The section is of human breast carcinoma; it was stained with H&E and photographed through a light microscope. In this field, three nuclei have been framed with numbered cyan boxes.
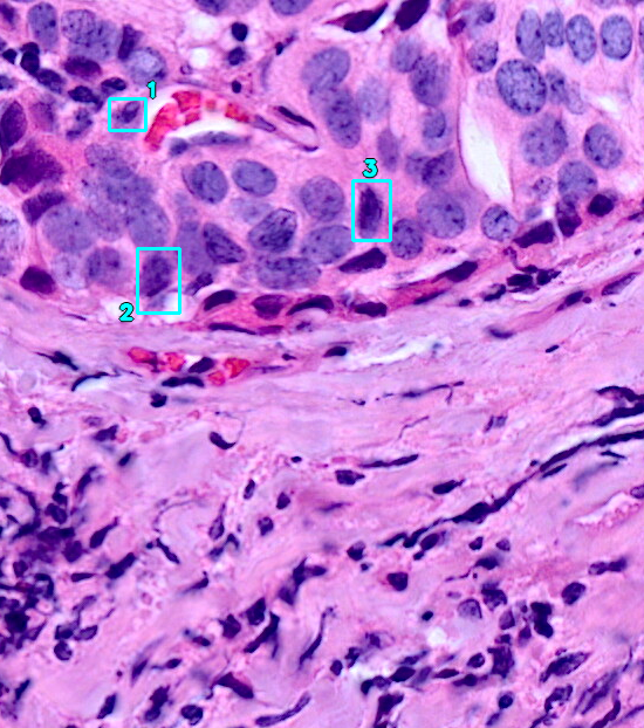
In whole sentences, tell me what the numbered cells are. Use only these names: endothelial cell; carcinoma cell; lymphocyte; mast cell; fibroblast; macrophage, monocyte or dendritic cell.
Cell 1 is an endothelial cell. Cells 2 and 3 are carcinoma cells.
